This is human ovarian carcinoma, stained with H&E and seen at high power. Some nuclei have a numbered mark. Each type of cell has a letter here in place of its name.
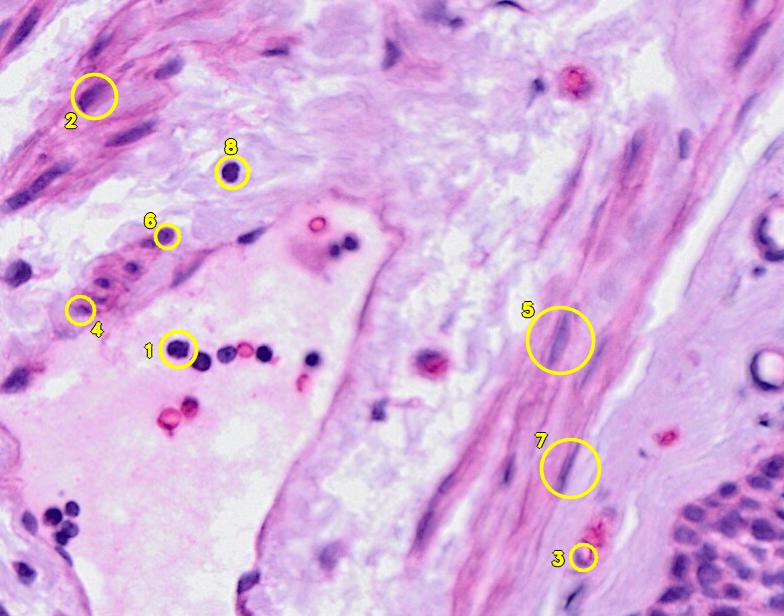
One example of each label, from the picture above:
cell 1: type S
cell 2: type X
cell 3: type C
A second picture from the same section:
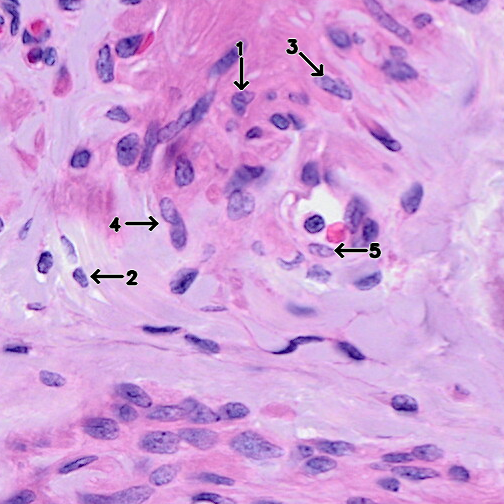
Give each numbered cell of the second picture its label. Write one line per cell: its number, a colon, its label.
1: type X
2: type S
3: type X
4: type X
5: type C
